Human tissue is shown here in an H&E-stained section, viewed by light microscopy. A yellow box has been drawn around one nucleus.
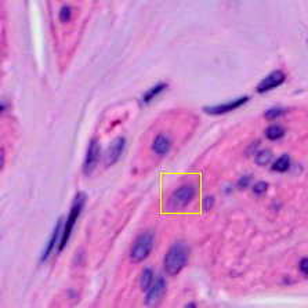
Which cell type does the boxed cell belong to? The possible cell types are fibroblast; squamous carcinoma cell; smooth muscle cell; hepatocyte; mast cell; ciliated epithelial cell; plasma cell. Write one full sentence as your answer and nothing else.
Assigned to a cell type, the boxed cell is a smooth muscle cell.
